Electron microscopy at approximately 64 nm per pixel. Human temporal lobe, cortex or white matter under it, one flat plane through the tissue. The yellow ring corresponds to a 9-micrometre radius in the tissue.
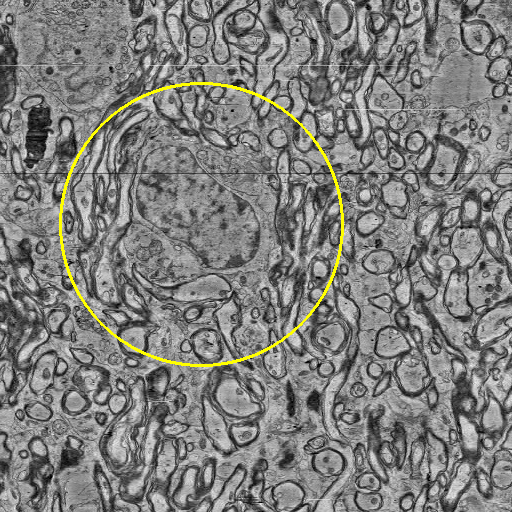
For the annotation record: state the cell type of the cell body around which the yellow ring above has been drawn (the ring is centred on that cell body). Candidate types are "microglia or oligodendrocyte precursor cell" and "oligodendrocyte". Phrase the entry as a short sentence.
The ringed cell is a microglial cell or oligodendrocyte precursor cell.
